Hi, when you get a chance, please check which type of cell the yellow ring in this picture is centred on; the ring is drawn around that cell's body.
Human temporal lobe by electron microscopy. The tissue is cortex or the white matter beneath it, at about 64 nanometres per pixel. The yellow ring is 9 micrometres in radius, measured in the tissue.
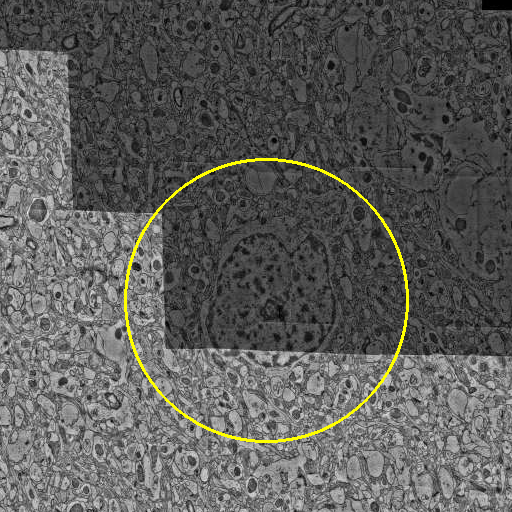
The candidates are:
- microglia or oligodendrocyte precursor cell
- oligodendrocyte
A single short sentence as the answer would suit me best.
The ring is drawn around the body of a microglial cell or oligodendrocyte precursor cell.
